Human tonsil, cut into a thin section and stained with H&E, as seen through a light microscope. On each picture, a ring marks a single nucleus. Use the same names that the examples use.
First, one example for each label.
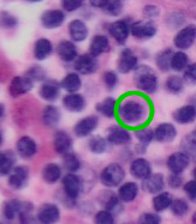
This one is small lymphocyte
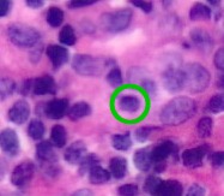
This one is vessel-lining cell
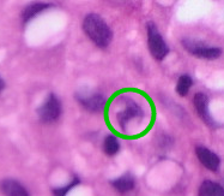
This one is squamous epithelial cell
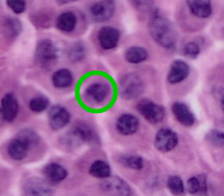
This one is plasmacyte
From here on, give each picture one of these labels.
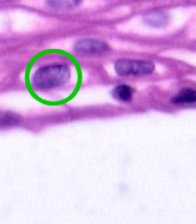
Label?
squamous epithelial cell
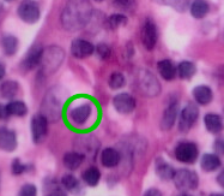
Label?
vessel-lining cell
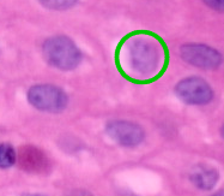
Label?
squamous epithelial cell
